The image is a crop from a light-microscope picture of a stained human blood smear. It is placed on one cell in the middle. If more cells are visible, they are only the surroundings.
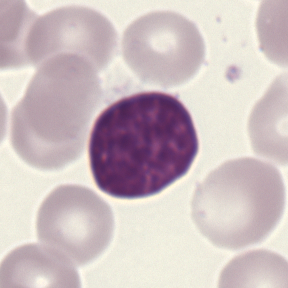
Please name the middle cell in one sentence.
Classification of the middle cell gives a smudge cell.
